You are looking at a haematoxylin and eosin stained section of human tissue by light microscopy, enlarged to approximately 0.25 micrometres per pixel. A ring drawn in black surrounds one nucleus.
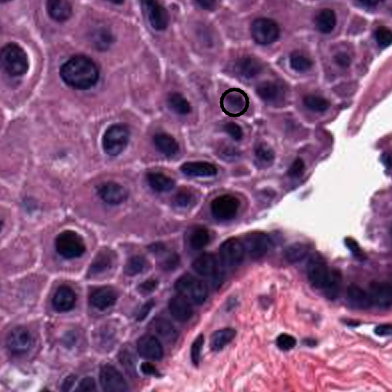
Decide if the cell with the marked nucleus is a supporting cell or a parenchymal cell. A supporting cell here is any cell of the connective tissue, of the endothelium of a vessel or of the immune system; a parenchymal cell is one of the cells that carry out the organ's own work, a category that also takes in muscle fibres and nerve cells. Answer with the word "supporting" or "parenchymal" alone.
parenchymal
